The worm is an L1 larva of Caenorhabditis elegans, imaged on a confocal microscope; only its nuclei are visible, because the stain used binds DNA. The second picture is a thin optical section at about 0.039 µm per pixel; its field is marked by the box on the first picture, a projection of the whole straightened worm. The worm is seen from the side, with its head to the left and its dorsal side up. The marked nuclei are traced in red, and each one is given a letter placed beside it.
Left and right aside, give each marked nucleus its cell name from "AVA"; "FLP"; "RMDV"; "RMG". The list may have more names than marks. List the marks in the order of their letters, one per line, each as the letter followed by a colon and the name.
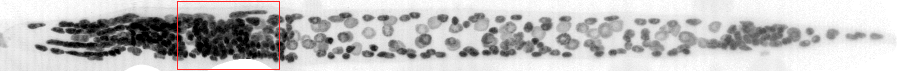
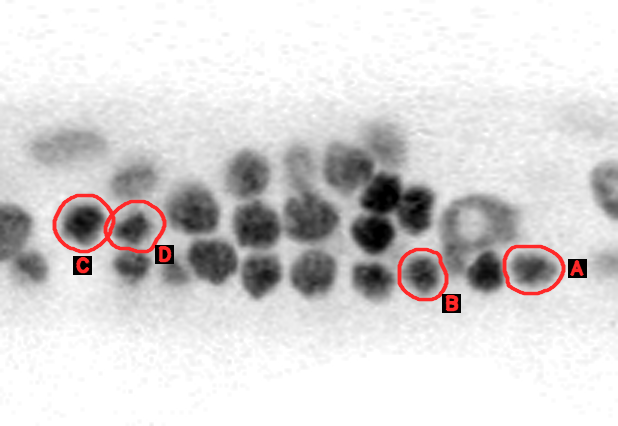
A: RMG
B: FLP
C: RMDV
D: AVA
